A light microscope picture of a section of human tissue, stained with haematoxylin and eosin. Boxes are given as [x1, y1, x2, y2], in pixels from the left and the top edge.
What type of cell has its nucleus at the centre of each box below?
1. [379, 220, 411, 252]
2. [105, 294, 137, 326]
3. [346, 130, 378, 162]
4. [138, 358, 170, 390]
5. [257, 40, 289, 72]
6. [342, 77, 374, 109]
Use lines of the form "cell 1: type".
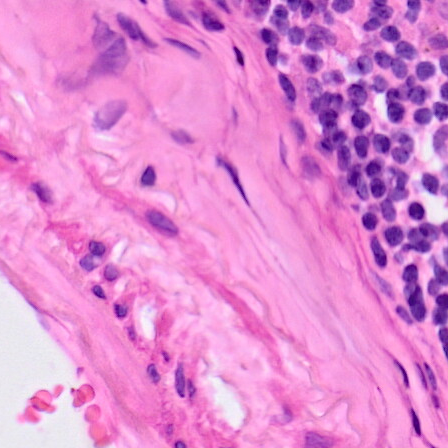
cell 1: lymphocyte
cell 2: smooth muscle cell or pericyte
cell 3: lymphocyte
cell 4: smooth muscle cell or pericyte
cell 5: lymphocyte
cell 6: lymphocyte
